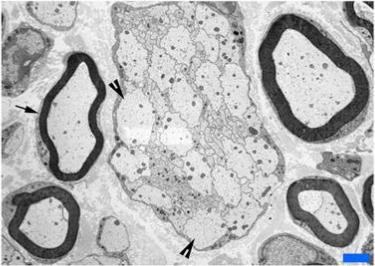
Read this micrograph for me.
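This transverse section of peripheral nerve shows only a few myelinated fibres, each a pale axon inside a dark myelin ring, set in wide pale spaces. A large central region holds many small axon profiles packed together. None of these small axons has a myelin ring. Cellular profiles with darker cytoplasm lie at the edges of the field.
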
